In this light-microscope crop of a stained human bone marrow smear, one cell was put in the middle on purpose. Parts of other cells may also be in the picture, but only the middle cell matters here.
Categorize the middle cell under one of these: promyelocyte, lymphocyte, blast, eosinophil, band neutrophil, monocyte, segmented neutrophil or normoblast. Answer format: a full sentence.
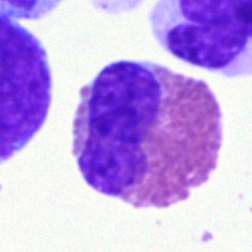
The cell at the centre of the field is an eosinophil.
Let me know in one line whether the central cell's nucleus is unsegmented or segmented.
If you check the nucleus, you will find one compact mass, round, oval or kidney-shaped.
